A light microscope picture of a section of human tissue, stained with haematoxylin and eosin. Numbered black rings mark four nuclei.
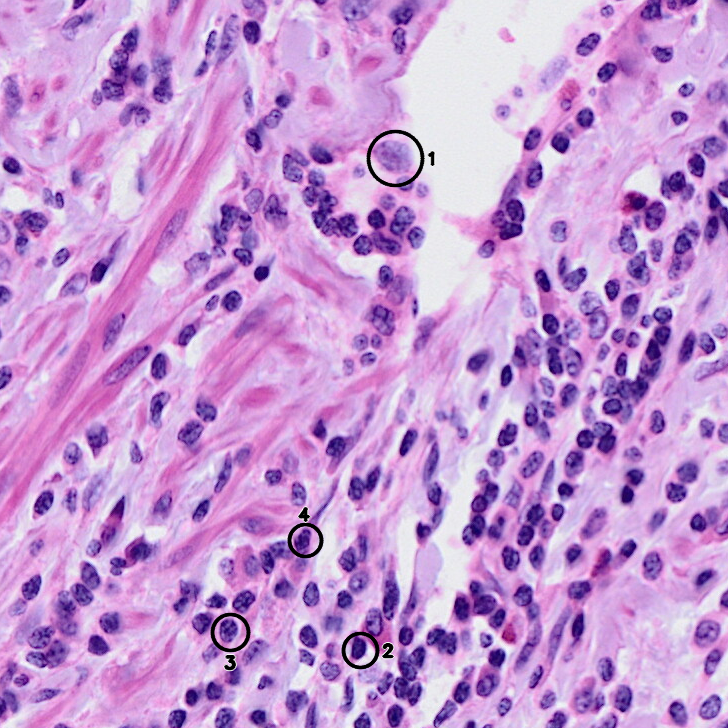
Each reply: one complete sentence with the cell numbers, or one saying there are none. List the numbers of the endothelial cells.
Exactly one of the numbered cells is an endothelial cell, namely cell 1.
